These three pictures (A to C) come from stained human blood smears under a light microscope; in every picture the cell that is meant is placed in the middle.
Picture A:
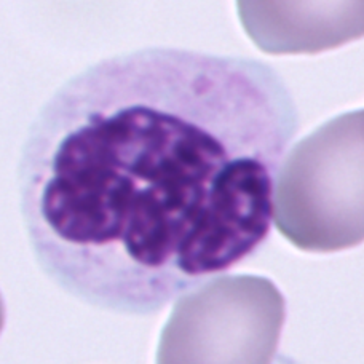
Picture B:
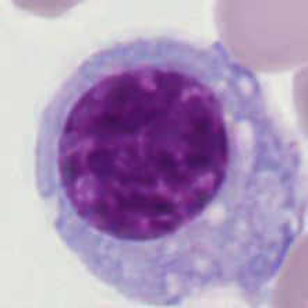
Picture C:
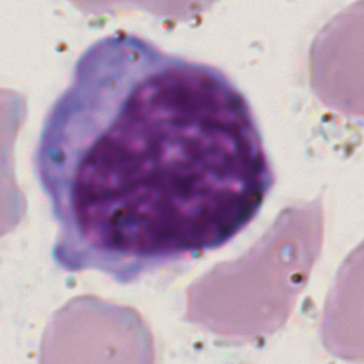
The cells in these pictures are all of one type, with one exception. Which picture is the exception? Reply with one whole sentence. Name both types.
Unlike the rest, which show plasma cells, picture A shows a segmented neutrophil.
